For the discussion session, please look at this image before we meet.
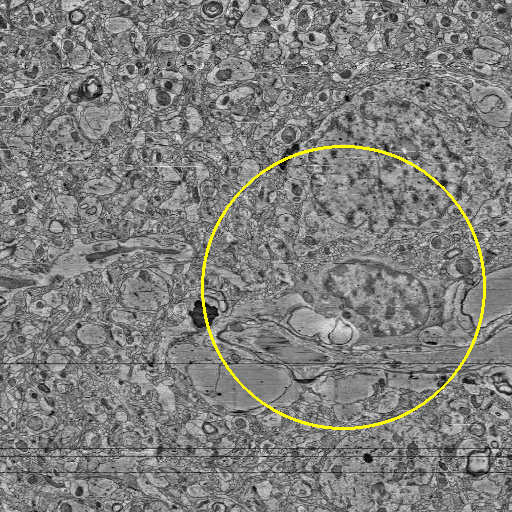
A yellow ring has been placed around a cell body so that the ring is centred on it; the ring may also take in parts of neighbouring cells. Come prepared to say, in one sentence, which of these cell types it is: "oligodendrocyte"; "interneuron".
The cell centred in the ring is an oligodendrocyte.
